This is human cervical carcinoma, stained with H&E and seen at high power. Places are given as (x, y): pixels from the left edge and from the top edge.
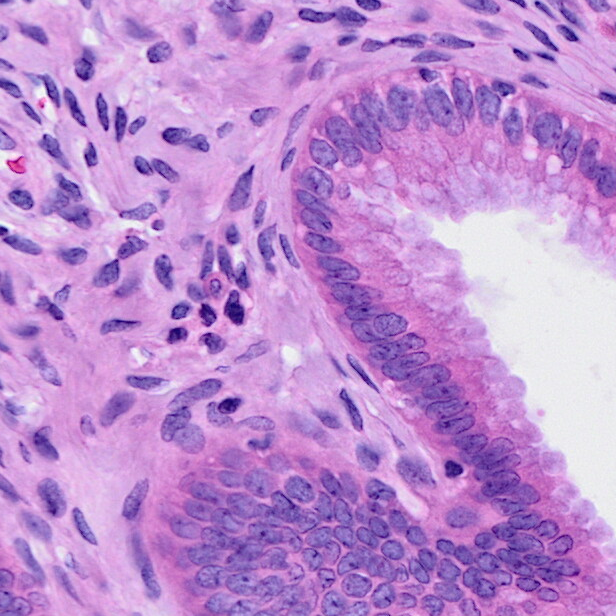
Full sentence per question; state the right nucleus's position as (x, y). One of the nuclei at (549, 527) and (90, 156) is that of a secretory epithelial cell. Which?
Of the two, the nucleus at (549, 527) is the one contained in a secretory epithelial cell.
